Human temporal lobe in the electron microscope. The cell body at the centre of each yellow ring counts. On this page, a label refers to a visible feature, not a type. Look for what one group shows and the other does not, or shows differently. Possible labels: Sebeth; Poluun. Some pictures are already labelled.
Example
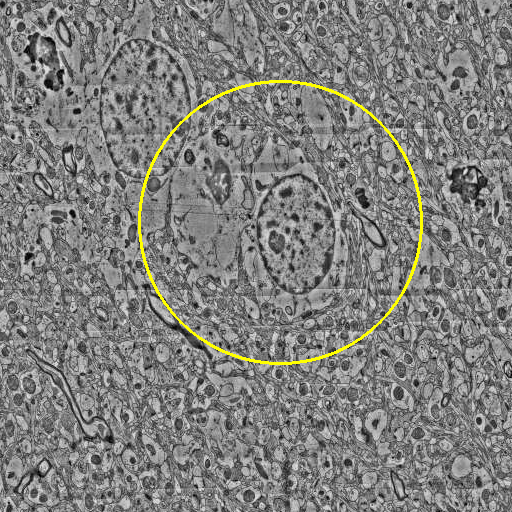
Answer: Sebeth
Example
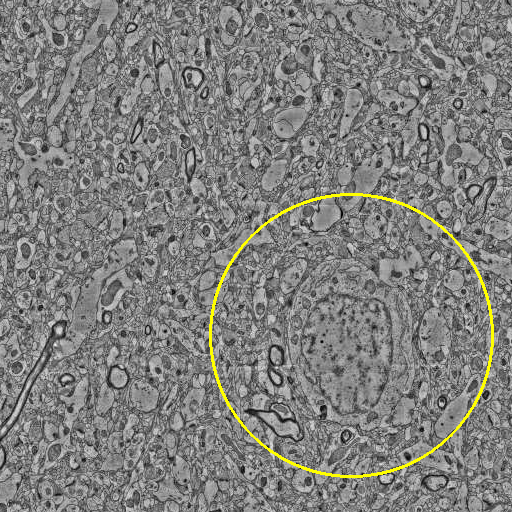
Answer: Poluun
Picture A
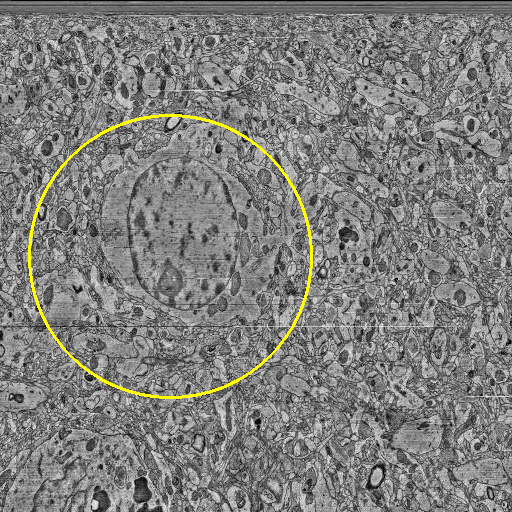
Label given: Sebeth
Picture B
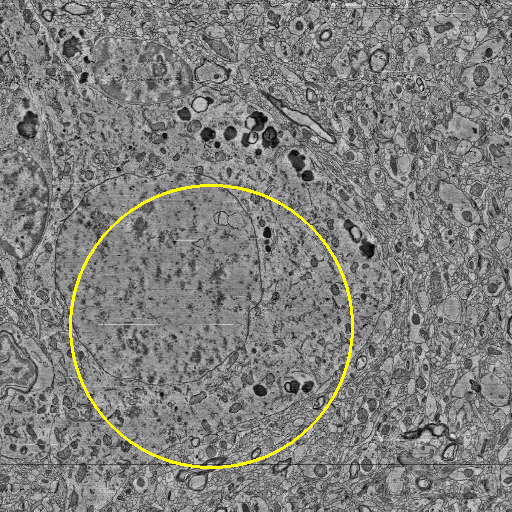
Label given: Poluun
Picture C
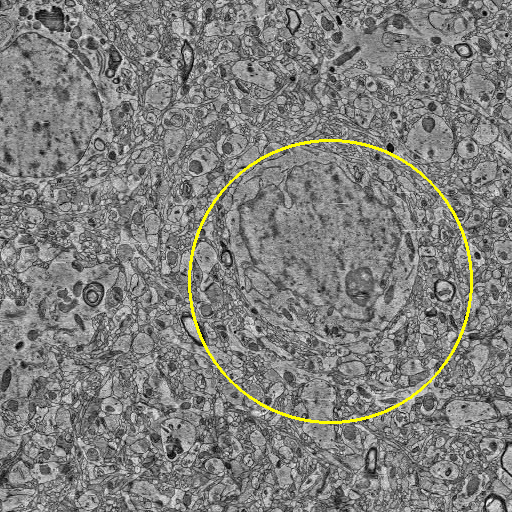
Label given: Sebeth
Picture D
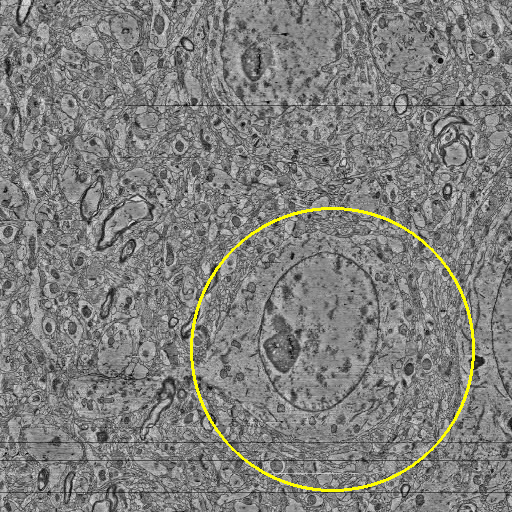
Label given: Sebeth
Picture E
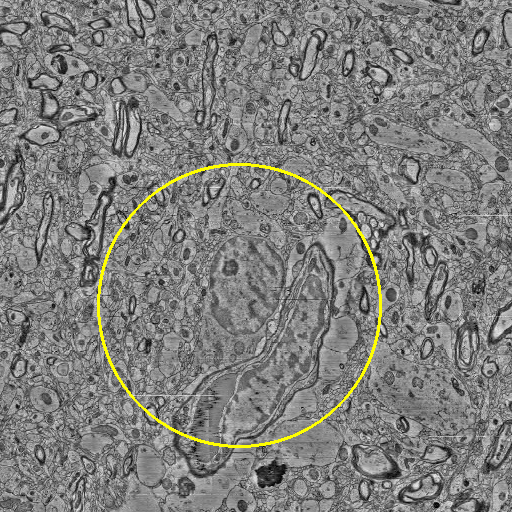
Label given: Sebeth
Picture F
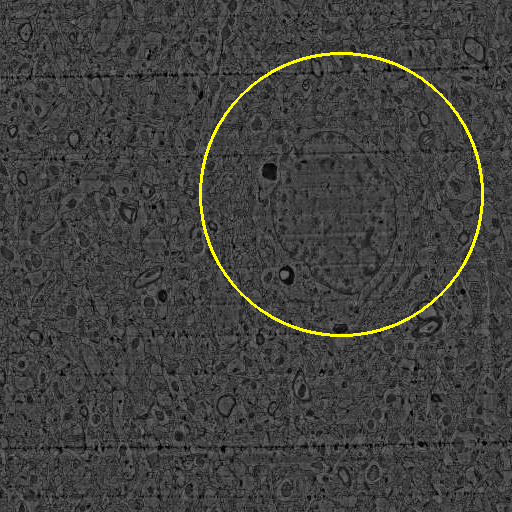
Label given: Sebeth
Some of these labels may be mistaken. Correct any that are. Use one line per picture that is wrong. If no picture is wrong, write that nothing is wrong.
F: Poluun, not Sebeth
